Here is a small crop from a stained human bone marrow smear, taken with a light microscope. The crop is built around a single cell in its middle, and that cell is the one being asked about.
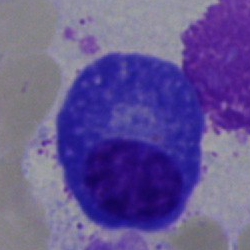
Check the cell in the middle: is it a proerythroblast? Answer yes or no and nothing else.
no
